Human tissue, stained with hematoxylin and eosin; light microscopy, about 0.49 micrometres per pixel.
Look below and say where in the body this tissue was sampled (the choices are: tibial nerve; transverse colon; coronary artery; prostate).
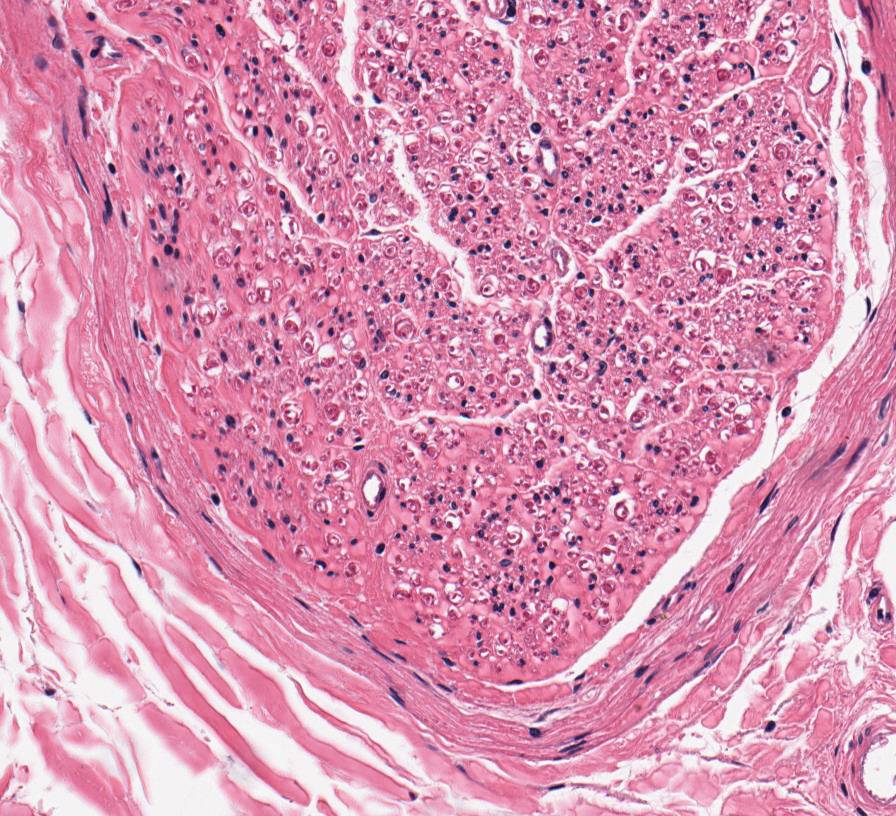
tibial nerve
